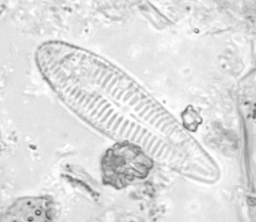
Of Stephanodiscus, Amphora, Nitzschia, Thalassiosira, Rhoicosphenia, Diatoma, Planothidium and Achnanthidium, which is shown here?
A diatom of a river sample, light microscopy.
Rhoicosphenia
